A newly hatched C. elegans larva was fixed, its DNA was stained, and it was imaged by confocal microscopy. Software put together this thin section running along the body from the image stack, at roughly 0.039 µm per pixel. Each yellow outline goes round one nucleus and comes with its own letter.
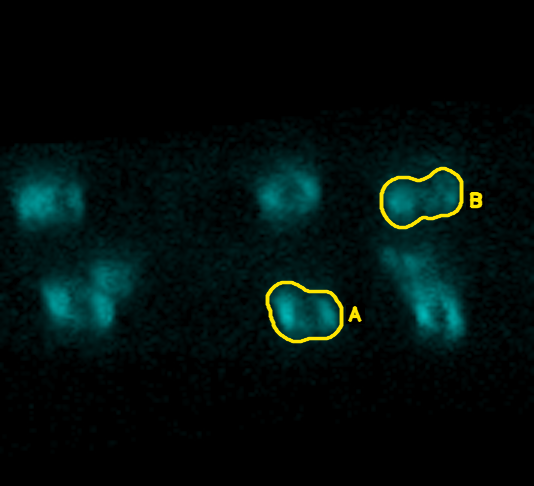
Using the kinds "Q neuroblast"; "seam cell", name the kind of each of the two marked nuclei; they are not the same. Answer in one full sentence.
A is from a seam cell, and B is from a Q neuroblast.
